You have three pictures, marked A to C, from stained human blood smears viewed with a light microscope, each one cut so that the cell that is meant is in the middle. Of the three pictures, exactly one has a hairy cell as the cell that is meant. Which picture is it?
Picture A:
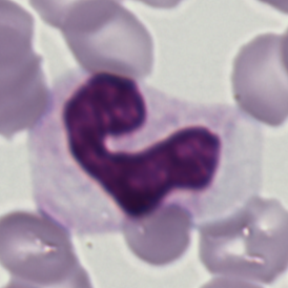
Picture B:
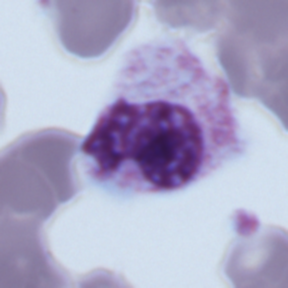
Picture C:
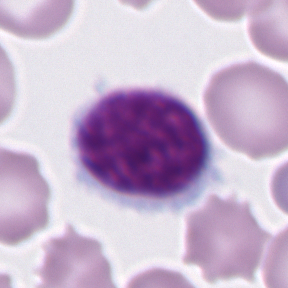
C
